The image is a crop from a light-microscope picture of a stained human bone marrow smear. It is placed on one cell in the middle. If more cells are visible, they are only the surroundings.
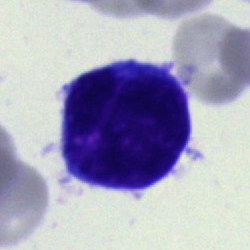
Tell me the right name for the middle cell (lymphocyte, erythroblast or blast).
blast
